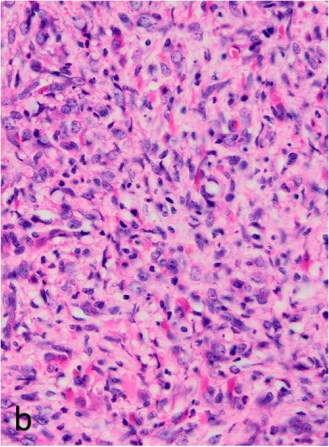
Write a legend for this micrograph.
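This is a cellular neoplasm made of plump epithelioid cells with large oval nuclei and fine, open chromatin, some showing small clear vacuoles in their cytoplasm. Small dark round nuclei of inflammatory cells are sprinkled through the tumour, and the background stroma is pink with scattered eosinophilic material.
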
